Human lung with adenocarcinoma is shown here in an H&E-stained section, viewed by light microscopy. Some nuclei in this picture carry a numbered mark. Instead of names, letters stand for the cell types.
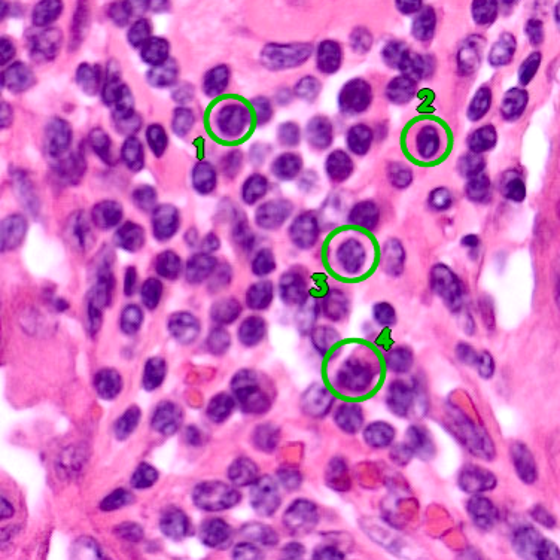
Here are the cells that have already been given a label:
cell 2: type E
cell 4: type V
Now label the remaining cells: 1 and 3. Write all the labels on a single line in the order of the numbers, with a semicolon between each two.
type E; type E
